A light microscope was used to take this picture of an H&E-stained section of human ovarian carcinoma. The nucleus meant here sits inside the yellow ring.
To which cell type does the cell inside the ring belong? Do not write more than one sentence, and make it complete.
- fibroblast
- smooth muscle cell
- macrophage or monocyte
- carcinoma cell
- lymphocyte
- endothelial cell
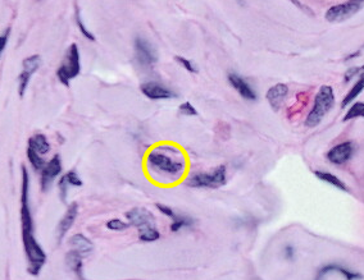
To be brief about it, the cell inside the ring is an endothelial cell.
